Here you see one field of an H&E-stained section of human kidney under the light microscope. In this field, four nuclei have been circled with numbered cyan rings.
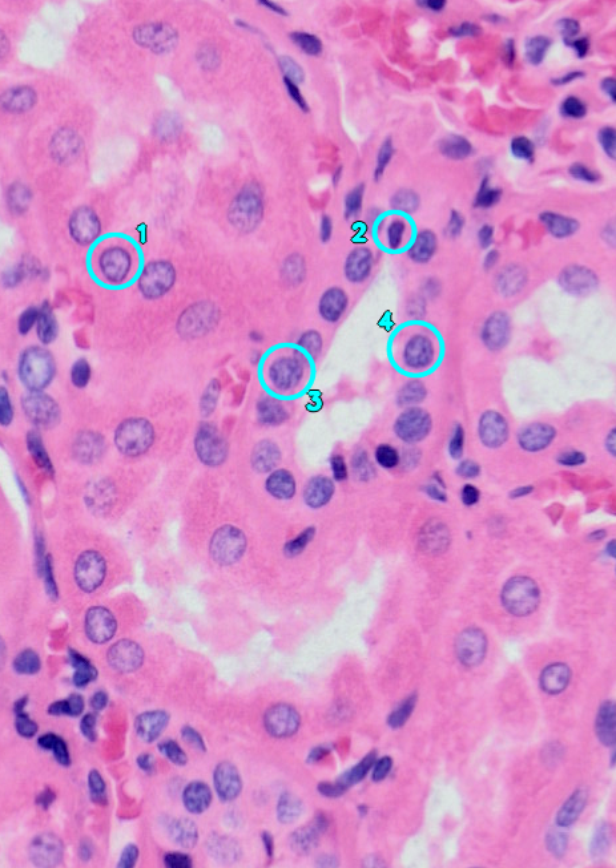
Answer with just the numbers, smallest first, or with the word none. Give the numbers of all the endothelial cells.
none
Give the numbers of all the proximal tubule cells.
1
